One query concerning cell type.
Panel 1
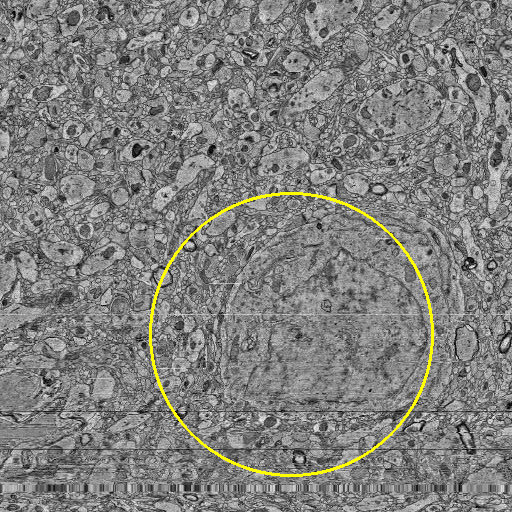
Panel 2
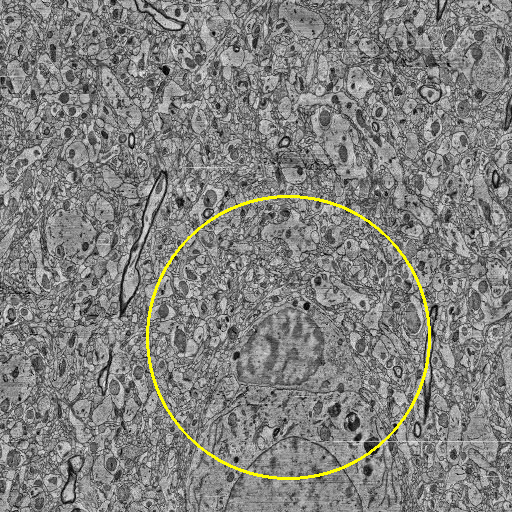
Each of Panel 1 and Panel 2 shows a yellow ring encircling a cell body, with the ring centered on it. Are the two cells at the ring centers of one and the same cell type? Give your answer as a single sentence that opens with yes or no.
No, the cell centered in Panel 1 and the one in Panel 2 are of two types.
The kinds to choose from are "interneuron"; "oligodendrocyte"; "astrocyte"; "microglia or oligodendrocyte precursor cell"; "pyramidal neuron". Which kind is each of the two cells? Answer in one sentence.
Of the two, the first cell is an interneuron and the second cell is an oligodendrocyte.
